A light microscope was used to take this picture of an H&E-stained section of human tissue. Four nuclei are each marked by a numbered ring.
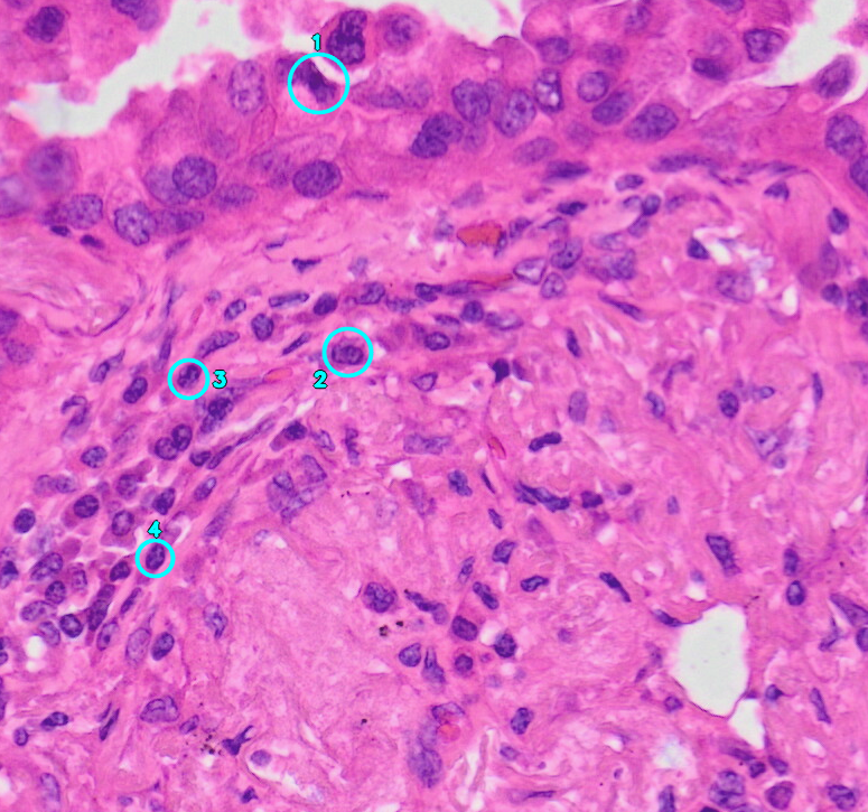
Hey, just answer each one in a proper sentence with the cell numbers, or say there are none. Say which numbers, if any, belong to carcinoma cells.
In short, cell 1 is a carcinoma cell; the others are not.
